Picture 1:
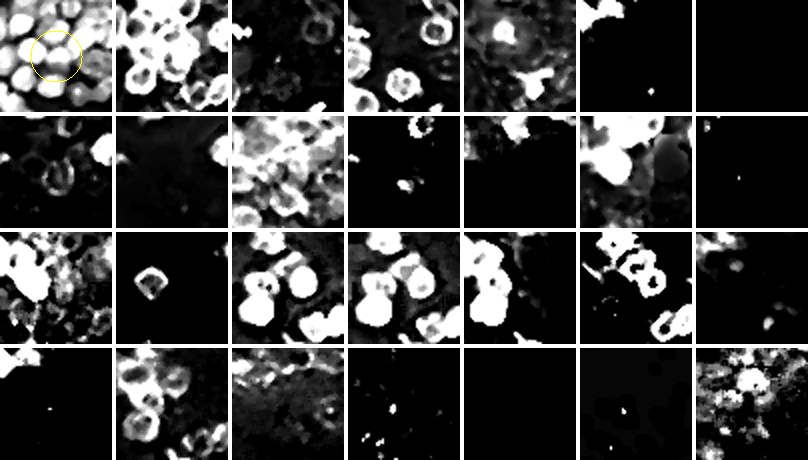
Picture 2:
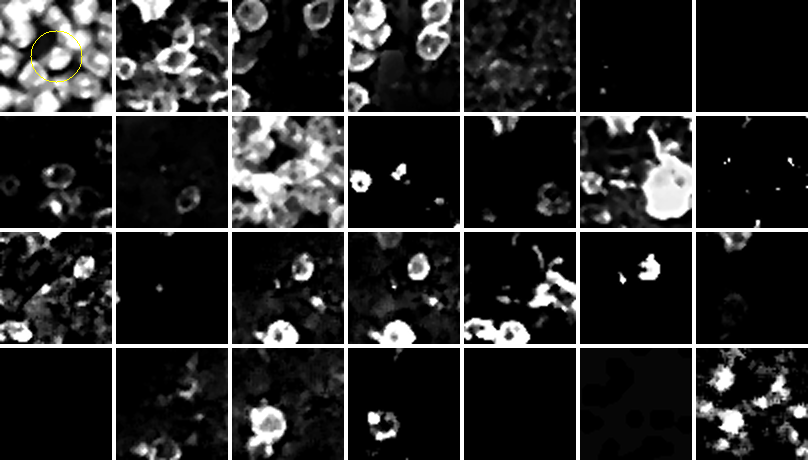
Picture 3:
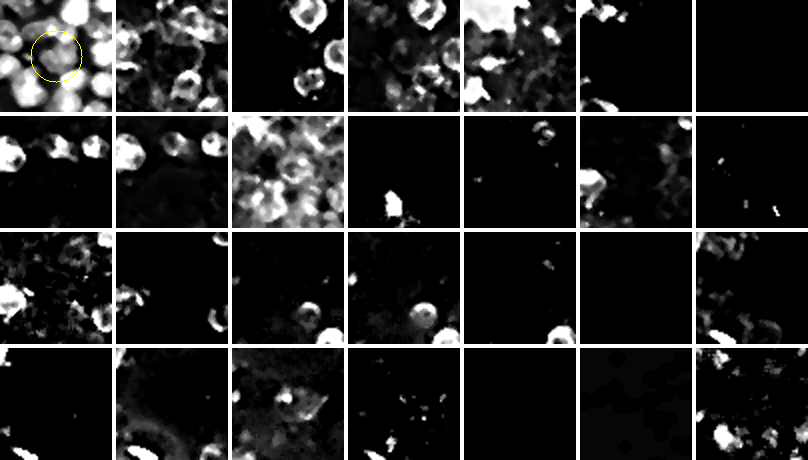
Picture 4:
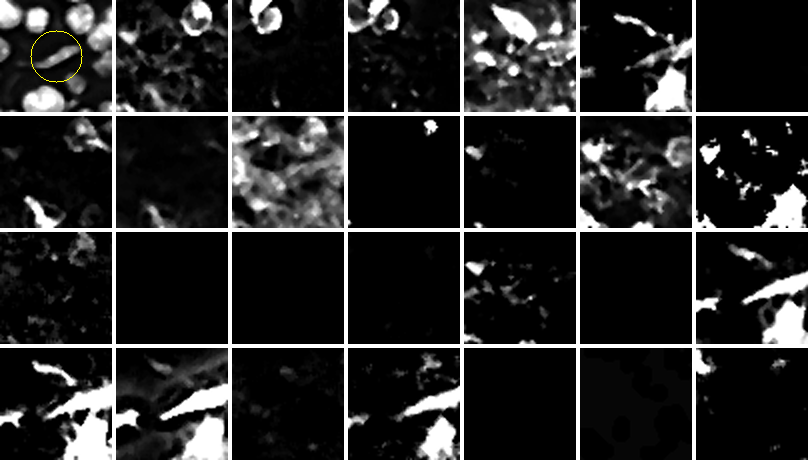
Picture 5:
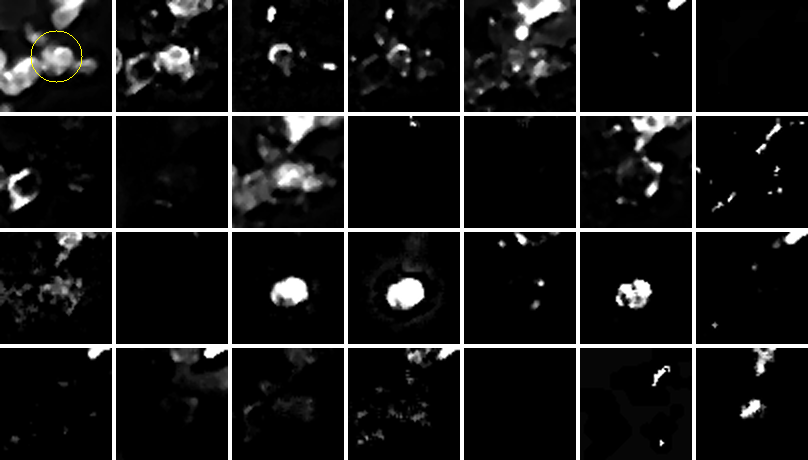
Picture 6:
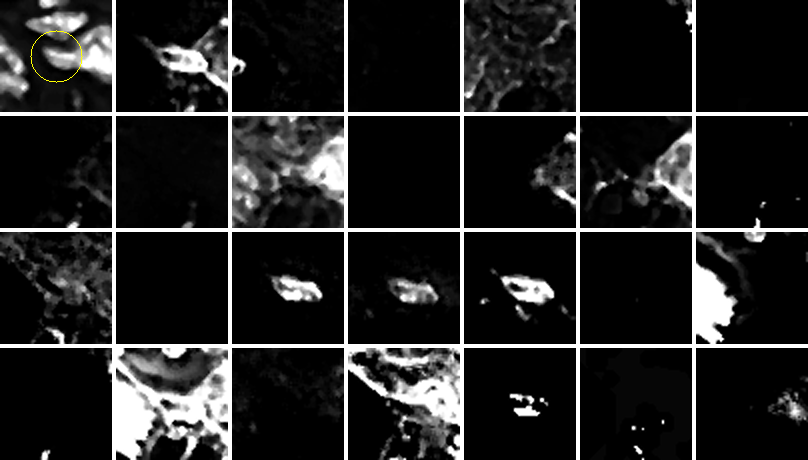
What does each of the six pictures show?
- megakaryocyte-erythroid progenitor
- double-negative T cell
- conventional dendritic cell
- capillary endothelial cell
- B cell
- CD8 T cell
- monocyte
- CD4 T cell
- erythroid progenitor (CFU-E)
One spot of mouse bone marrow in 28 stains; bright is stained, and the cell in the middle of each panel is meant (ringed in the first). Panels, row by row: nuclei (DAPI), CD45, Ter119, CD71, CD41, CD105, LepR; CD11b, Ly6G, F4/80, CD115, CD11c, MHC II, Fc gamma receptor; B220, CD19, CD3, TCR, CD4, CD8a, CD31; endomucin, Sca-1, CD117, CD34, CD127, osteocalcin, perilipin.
Picture 1: CD8 T cell
Picture 2: monocyte
Picture 3: megakaryocyte-erythroid progenitor
Picture 4: capillary endothelial cell
Picture 5: CD8 T cell
Picture 6: CD4 T cell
